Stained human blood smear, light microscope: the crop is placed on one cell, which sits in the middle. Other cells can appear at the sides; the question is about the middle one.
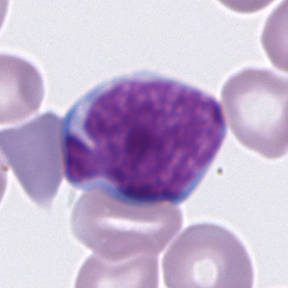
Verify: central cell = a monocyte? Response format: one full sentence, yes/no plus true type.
No, it is not a monocyte that lies in the middle but a blast.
